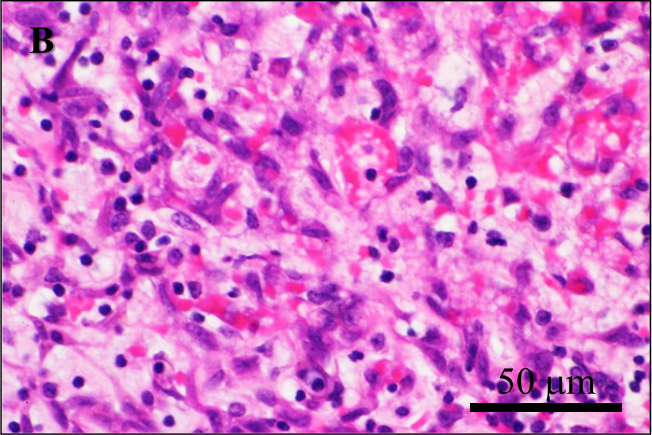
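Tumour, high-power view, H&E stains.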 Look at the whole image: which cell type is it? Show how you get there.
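Cells with oval to spindle nuclei and pink cytoplasm. Cell borders are hard to make out. Cells form short cords and syncytial groups in a pale background. So: myxoma cells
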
